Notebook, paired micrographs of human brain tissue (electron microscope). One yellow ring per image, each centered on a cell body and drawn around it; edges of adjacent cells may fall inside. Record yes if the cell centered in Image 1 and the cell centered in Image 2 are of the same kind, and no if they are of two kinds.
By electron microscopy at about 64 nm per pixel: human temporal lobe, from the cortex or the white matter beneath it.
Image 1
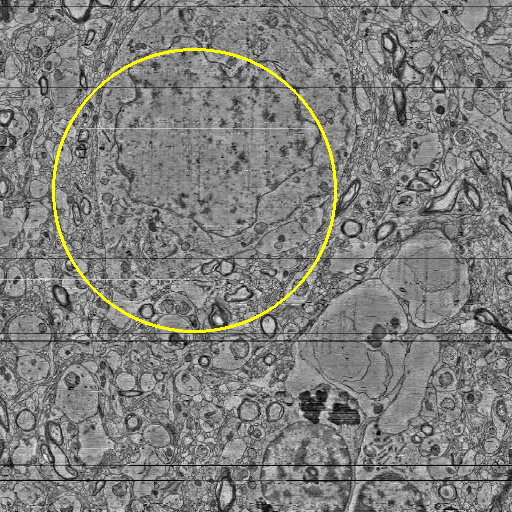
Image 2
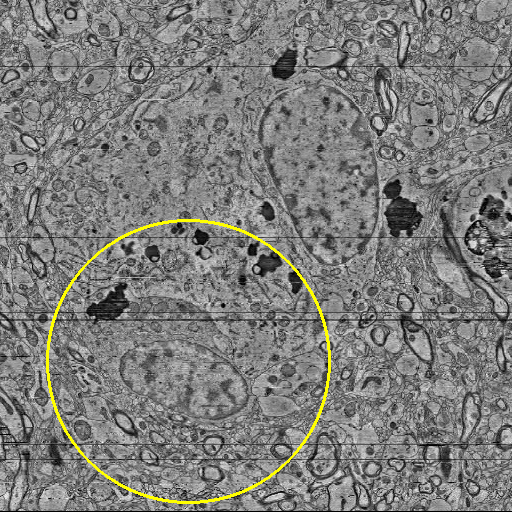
no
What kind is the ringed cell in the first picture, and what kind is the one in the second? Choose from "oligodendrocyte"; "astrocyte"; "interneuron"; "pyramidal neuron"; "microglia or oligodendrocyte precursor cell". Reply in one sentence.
The first cell is an interneuron; the second is an oligodendrocyte.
